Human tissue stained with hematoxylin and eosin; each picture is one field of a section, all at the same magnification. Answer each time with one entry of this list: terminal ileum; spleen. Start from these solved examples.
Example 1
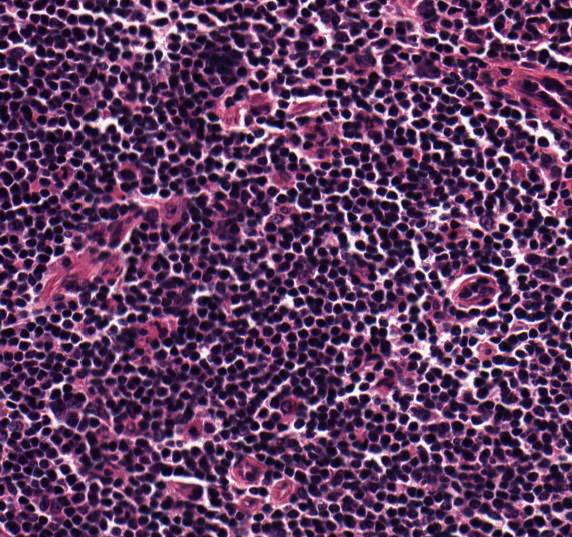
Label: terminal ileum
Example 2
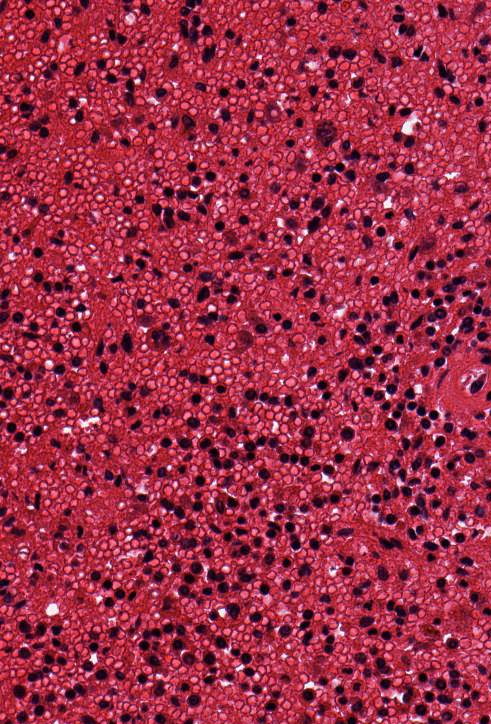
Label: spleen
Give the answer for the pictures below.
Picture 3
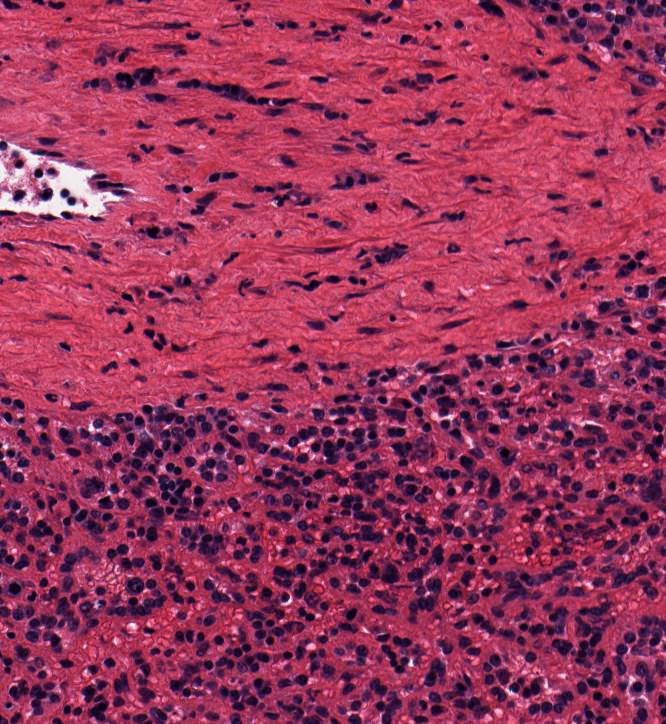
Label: spleen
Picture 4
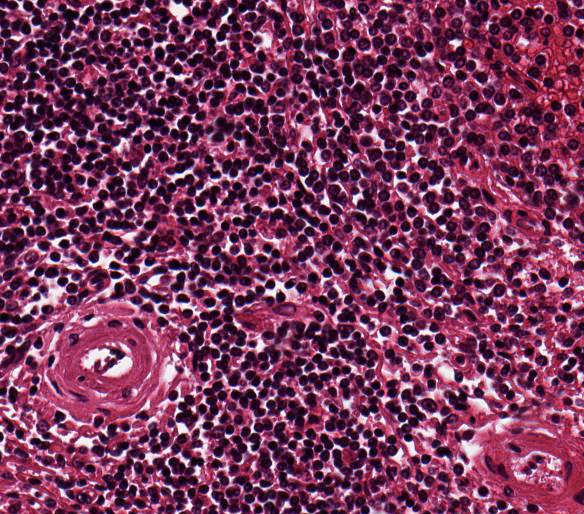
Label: spleen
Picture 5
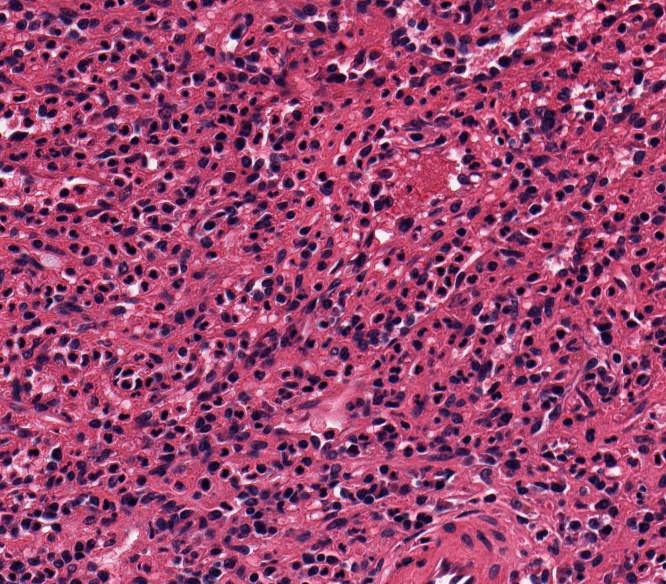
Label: spleen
